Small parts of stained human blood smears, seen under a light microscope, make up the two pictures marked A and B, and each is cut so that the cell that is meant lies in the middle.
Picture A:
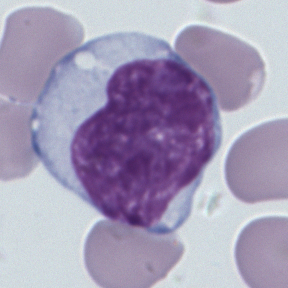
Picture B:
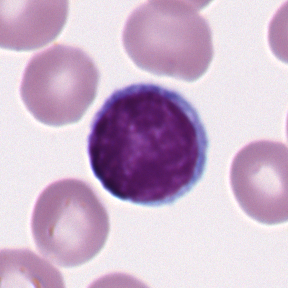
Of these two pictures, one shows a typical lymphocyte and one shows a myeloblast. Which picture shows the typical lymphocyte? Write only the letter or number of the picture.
B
